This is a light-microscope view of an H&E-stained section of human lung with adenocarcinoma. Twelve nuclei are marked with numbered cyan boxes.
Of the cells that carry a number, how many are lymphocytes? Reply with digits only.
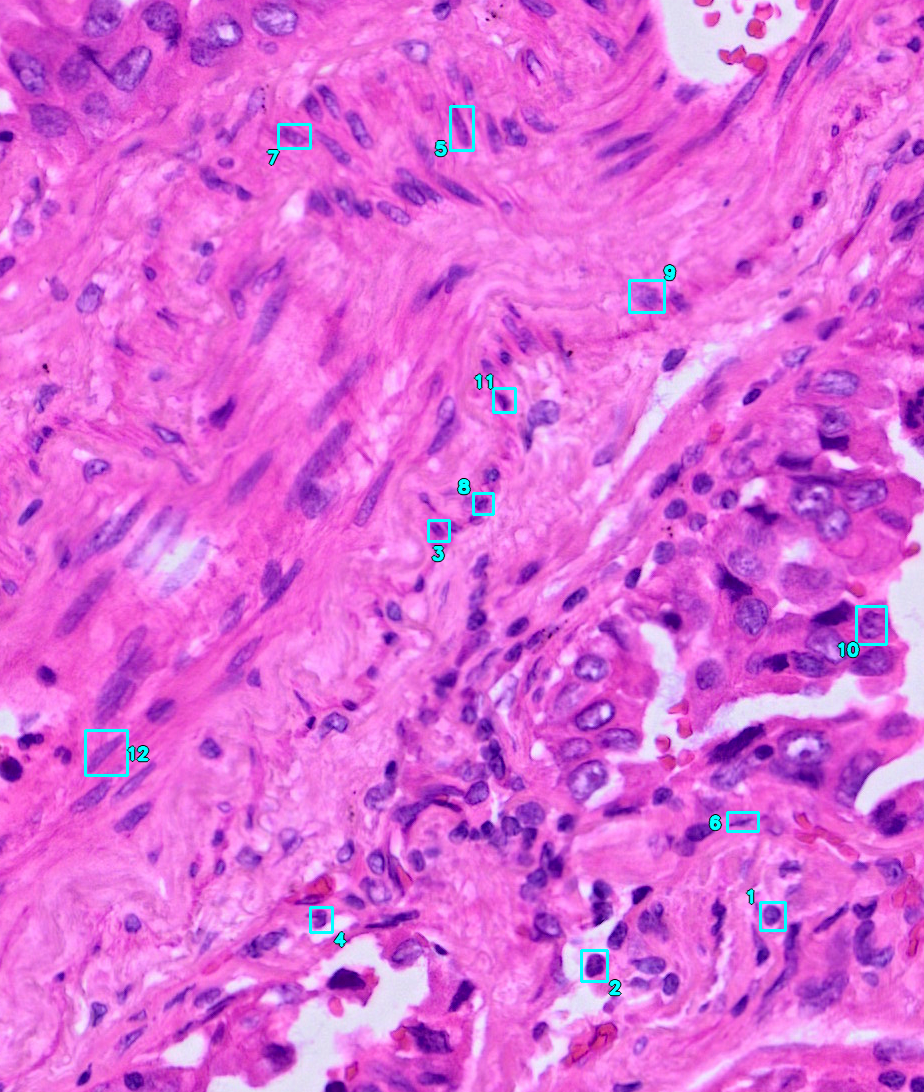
3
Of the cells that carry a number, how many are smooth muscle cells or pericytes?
7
